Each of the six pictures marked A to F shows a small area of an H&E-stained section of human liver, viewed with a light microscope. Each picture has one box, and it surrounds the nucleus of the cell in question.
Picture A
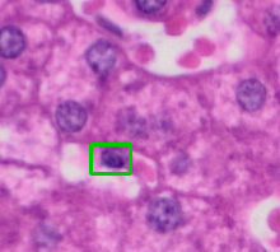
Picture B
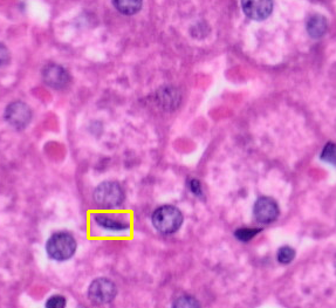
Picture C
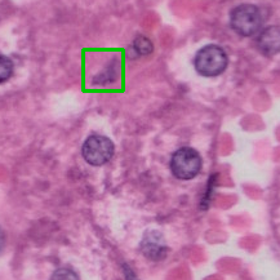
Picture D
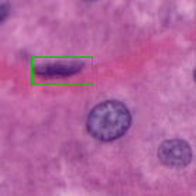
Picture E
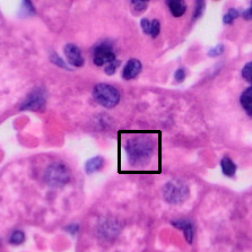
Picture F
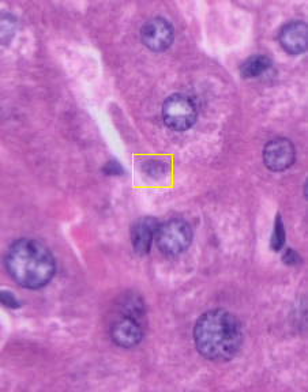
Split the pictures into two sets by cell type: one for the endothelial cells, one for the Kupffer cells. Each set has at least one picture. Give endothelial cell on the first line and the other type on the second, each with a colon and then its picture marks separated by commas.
endothelial cell: B, C, D, E
Kupffer cell: A, F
